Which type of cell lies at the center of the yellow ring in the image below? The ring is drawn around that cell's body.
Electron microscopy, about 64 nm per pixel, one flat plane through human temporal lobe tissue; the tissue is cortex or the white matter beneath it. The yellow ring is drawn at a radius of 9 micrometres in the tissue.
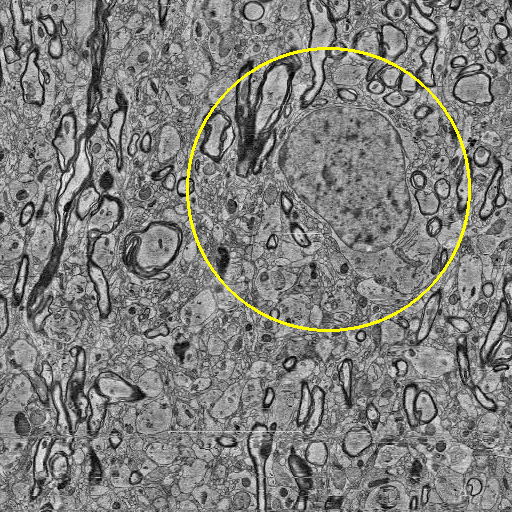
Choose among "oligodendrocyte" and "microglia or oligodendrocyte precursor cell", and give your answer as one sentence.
The cell body at the center belongs to a microglial cell or oligodendrocyte precursor cell.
